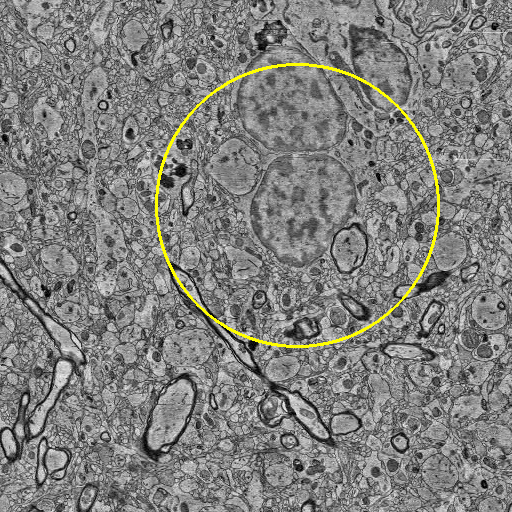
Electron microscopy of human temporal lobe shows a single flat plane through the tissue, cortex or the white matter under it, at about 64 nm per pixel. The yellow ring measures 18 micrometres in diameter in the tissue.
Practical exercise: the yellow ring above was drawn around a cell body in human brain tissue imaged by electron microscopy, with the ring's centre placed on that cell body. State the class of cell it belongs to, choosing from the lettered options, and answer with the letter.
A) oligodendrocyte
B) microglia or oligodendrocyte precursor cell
A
